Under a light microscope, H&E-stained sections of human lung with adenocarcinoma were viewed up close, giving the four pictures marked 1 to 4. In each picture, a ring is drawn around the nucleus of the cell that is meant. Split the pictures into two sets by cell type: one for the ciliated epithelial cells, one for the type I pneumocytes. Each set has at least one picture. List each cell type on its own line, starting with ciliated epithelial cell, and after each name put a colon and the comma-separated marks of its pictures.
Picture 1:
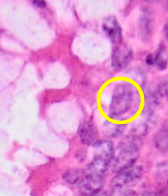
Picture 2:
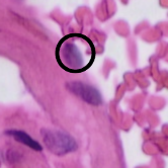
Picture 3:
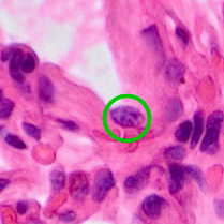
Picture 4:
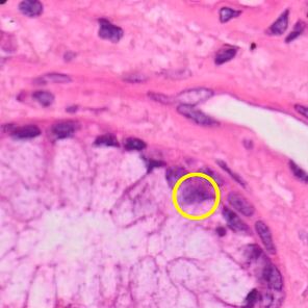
ciliated epithelial cell: 1, 4
type I pneumocyte: 2, 3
